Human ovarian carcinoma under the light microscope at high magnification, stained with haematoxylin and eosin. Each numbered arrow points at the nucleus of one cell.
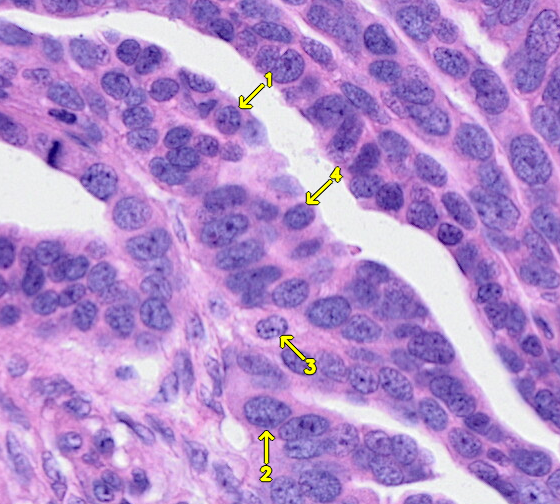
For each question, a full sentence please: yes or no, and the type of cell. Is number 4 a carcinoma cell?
Yes, the marked cell numbered 4 is a carcinoma cell.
